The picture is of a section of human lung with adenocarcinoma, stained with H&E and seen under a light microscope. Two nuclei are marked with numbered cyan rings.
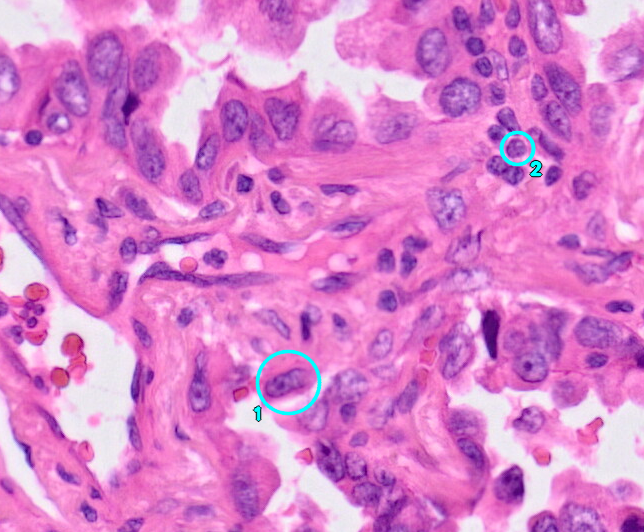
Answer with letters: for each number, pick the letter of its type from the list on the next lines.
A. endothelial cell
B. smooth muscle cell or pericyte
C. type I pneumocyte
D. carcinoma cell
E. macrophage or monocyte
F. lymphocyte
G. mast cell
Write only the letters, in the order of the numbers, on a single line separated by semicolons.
D; F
